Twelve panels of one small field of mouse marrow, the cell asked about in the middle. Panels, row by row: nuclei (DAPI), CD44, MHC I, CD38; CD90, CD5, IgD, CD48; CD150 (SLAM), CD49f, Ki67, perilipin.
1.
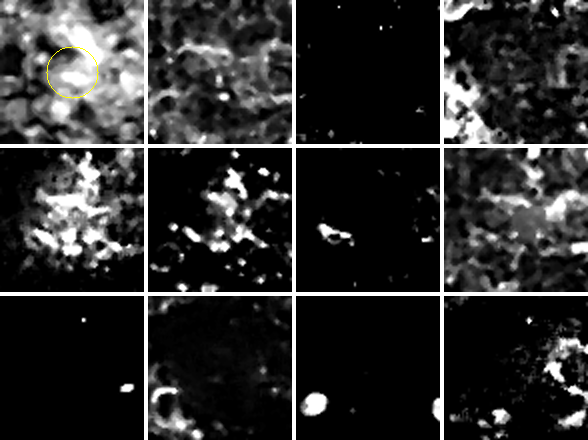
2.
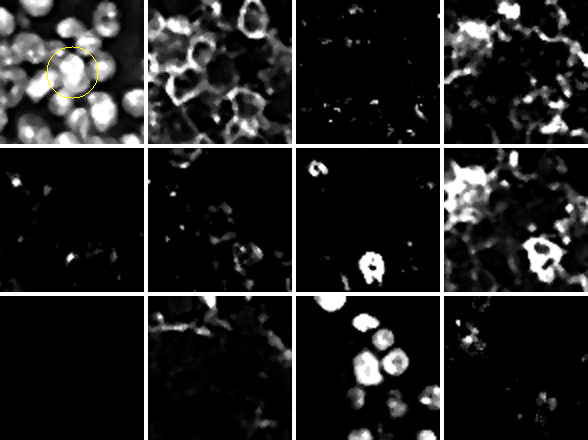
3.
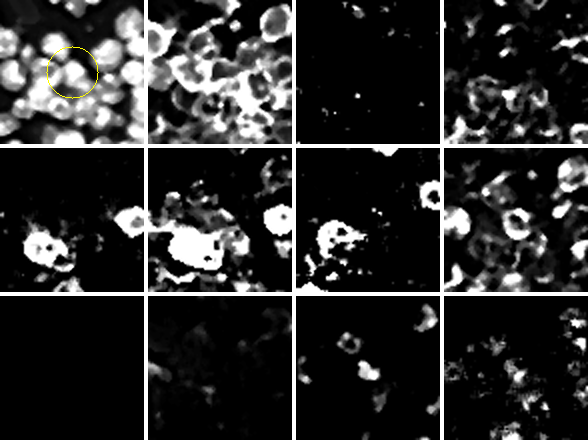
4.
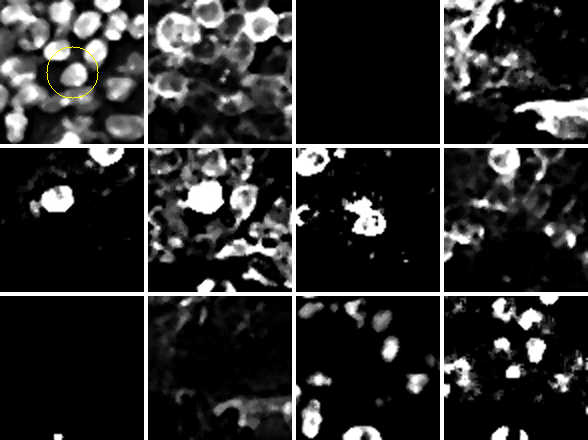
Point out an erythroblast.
That is picture 2.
